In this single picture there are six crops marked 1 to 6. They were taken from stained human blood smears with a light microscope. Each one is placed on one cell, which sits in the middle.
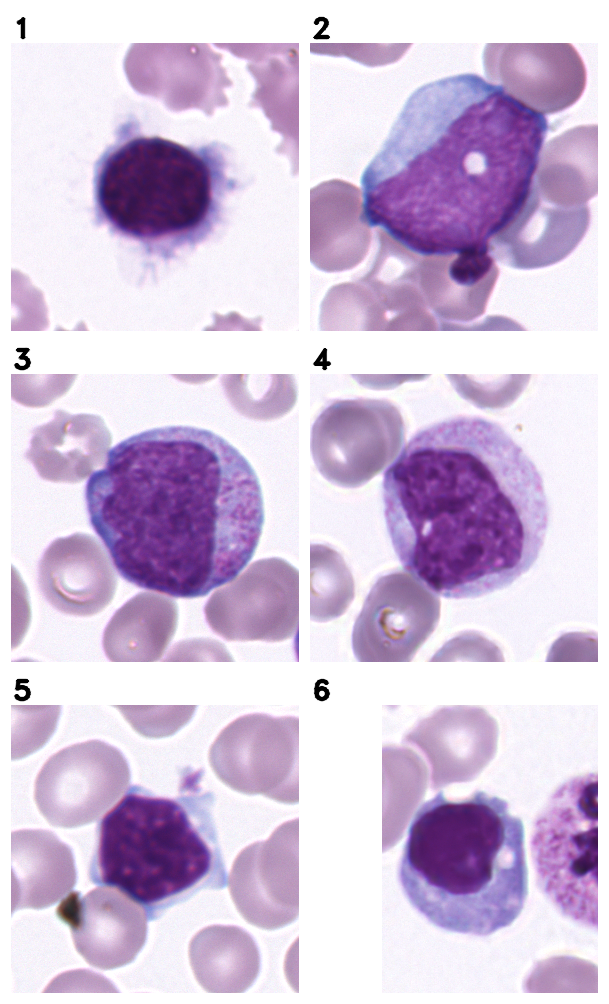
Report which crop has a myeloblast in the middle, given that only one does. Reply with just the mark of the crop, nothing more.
2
